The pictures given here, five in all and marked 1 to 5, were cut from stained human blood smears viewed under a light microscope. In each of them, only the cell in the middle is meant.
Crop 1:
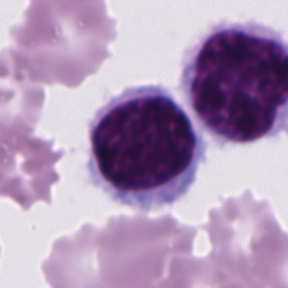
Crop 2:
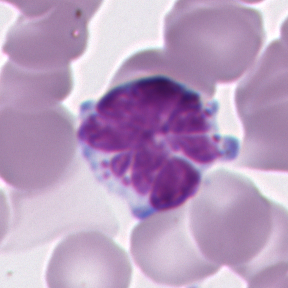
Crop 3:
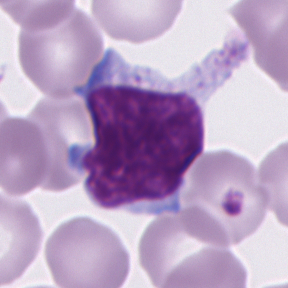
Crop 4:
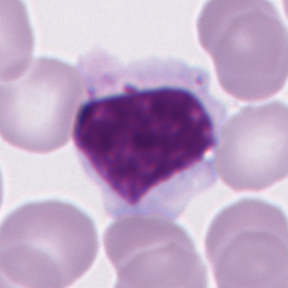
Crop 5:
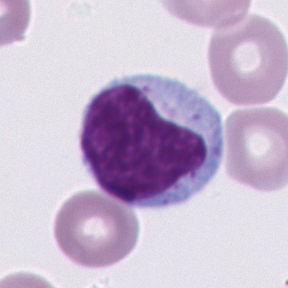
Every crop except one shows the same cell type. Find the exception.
1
